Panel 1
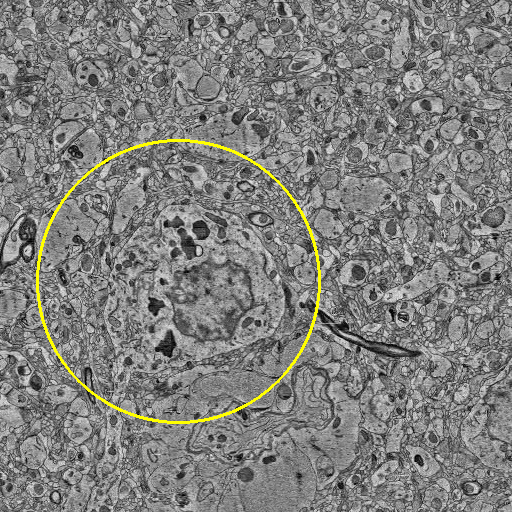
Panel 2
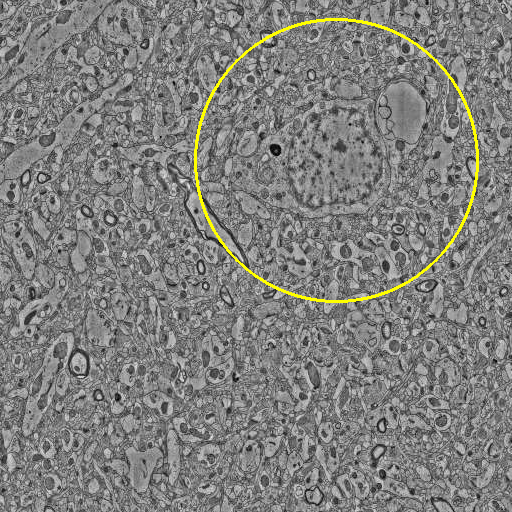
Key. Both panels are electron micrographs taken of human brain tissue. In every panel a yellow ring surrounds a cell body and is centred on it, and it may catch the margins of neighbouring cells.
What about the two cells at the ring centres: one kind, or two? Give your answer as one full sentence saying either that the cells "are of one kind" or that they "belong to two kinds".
Across Panels 1 and 2, the two cells at the ring centres are of one kind.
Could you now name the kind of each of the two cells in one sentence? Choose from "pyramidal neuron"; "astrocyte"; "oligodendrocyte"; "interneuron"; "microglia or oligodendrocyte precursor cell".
Each of the two cells is an interneuron.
